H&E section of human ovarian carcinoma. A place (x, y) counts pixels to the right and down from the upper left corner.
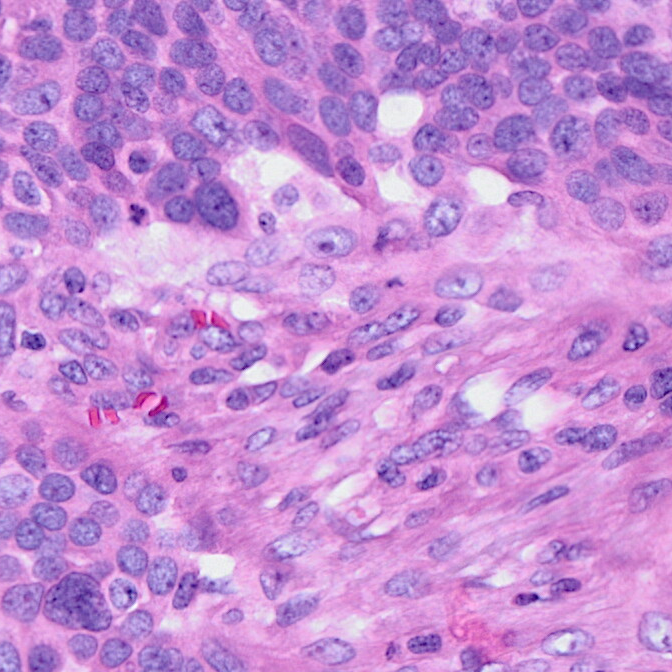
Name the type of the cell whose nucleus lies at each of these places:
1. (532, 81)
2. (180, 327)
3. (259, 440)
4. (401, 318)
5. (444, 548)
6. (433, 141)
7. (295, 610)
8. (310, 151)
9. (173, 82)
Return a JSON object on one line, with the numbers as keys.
{"1": "carcinoma cell", "2": "endothelial cell", "3": "fibroblast", "4": "endothelial cell", "5": "fibroblast", "6": "carcinoma cell", "7": "fibroblast", "8": "carcinoma cell", "9": "carcinoma cell"}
